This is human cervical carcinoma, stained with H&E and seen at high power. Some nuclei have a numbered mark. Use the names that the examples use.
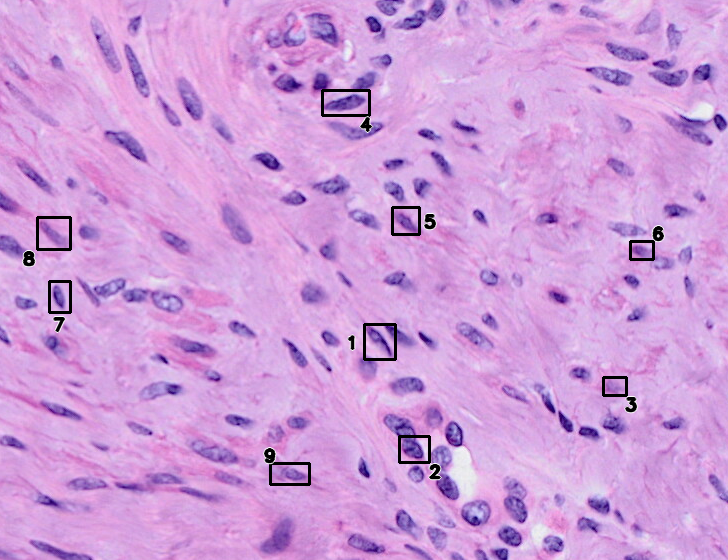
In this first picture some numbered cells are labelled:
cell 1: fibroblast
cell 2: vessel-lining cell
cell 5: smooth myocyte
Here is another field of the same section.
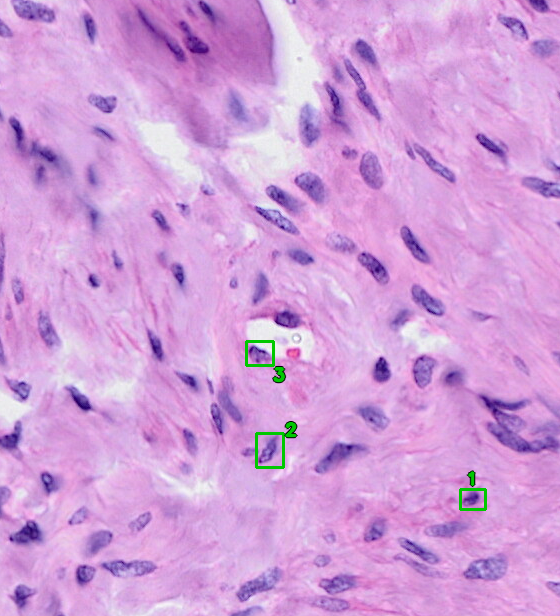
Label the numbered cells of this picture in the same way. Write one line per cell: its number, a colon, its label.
1: smooth myocyte
2: fibroblast
3: vessel-lining cell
